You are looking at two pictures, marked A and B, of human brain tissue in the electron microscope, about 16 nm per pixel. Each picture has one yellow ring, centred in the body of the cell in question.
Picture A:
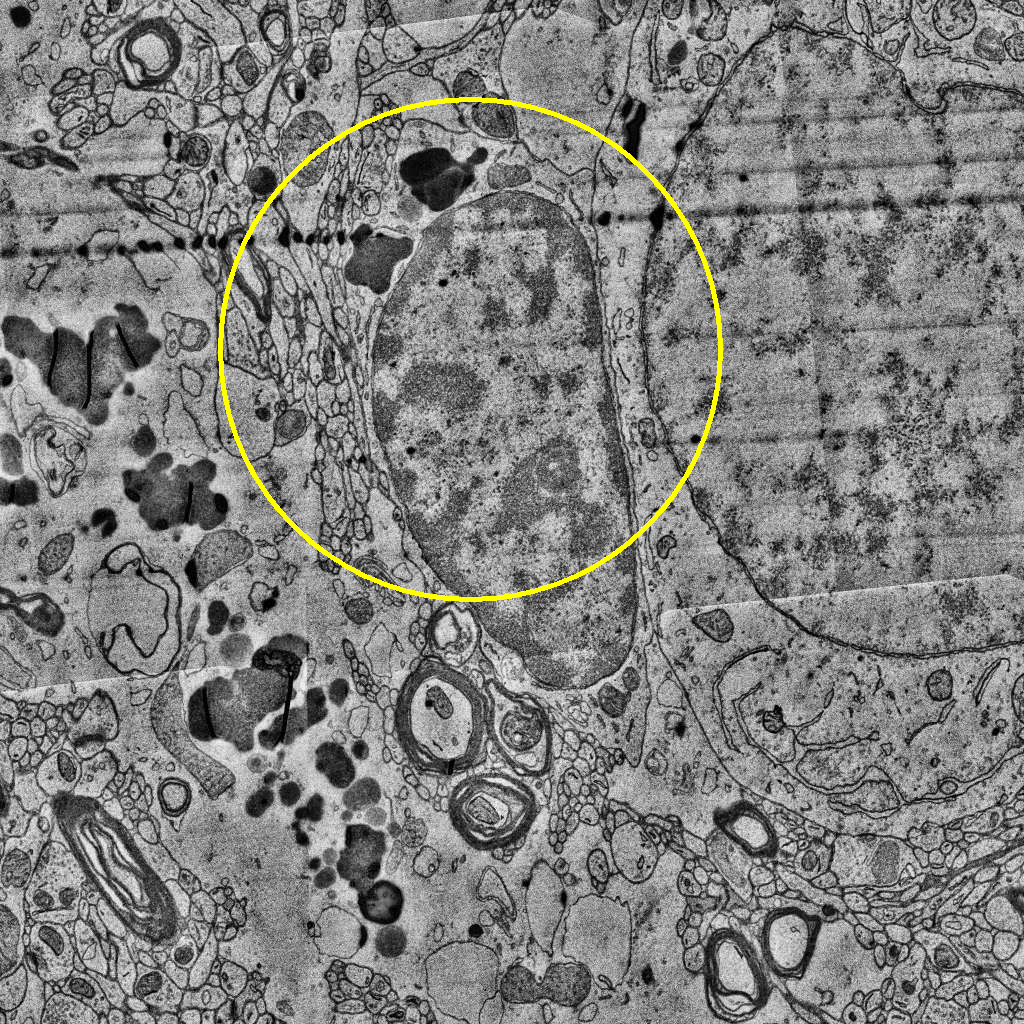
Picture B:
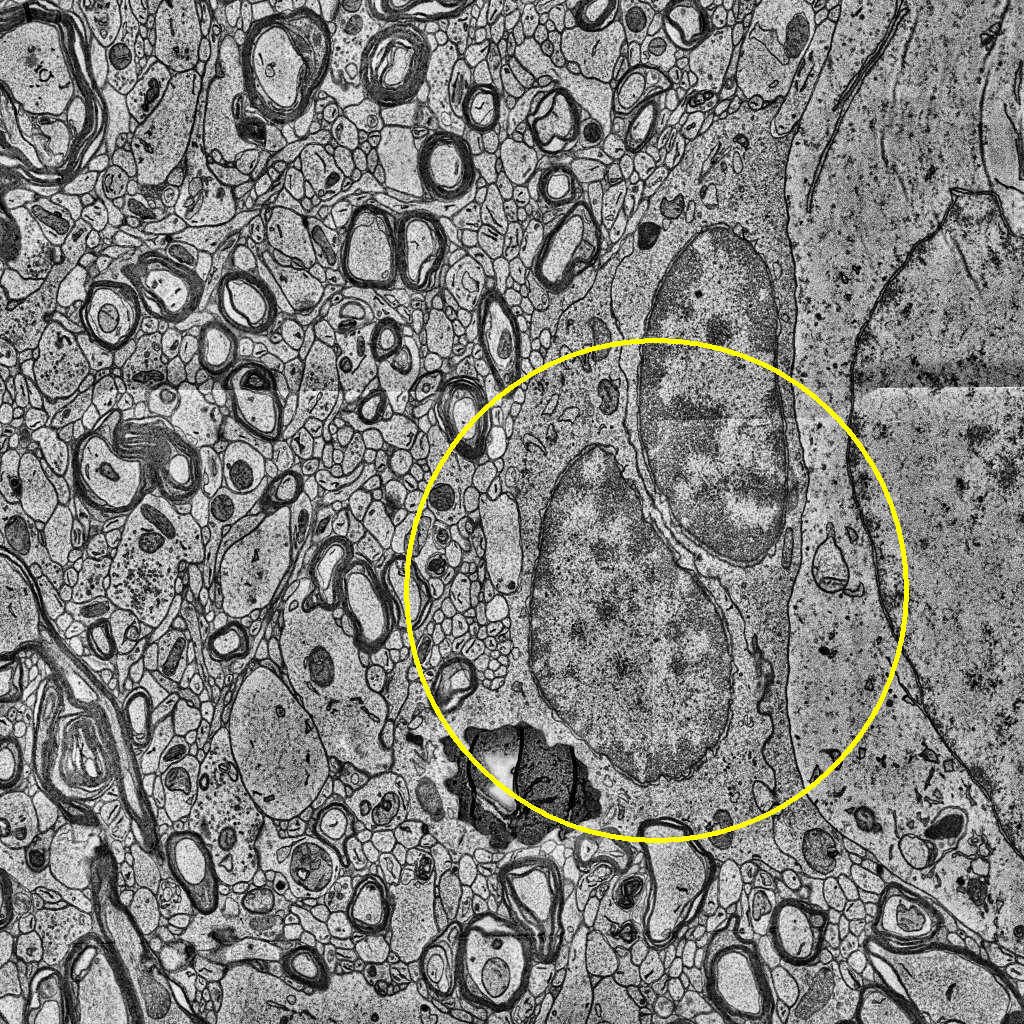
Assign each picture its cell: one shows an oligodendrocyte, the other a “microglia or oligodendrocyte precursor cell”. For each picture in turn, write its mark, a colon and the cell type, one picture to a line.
A: microglia or oligodendrocyte precursor cell
B: oligodendrocyte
